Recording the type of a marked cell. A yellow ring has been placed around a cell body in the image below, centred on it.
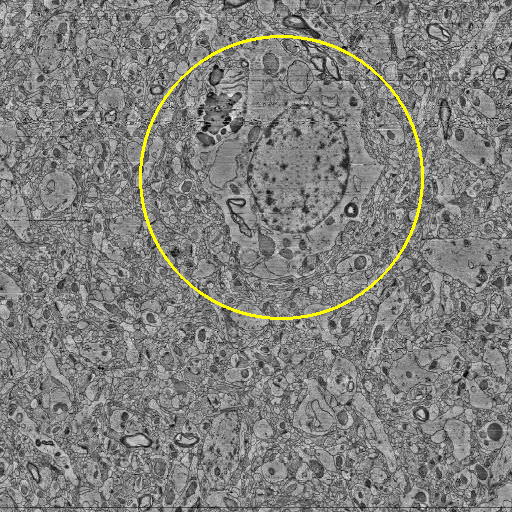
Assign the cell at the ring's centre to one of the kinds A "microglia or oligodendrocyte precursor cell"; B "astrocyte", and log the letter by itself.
B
